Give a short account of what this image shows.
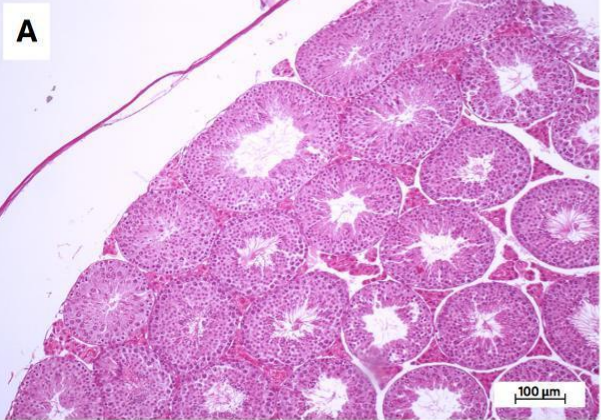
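Cross-sections of seminiferous tubules in testis, closely packed and rounded, with a thin fibrous capsule separated from the tissue along the upper-left edge. Each tubule is lined by a thick, dense stratified epithelium of cells with dark purple nuclei, arranged in layers from the basal boundary toward a central lumen that contains pale pink wispy material. The tubule outlines are smooth and regular. Between the tubules lie interstitial spaces containing pink-staining material and small clusters of cells, with some clear gaps around tubules.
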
